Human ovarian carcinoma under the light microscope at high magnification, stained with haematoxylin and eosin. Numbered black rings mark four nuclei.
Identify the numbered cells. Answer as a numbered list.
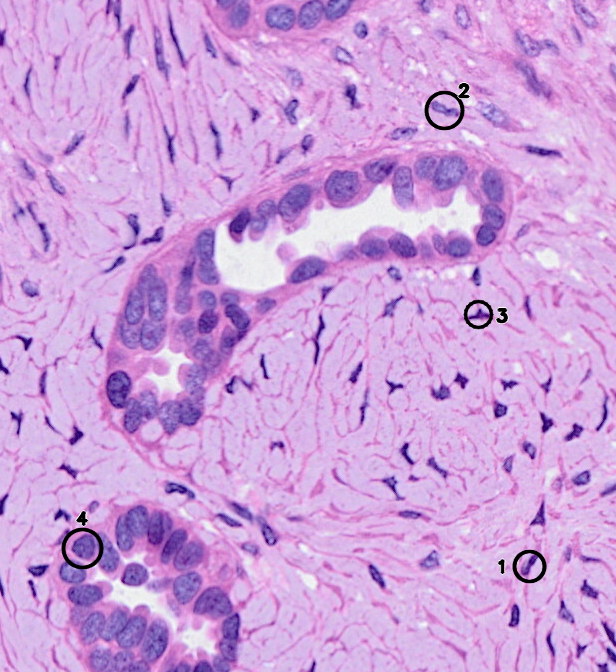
1. fibroblast
2. fibroblast
3. fibroblast
4. carcinoma cell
